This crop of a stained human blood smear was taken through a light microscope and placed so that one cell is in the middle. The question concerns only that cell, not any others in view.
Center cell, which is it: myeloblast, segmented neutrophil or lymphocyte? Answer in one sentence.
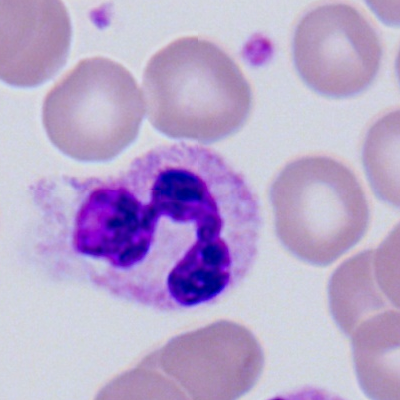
The central cell in this smear crop is a segmented neutrophil.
